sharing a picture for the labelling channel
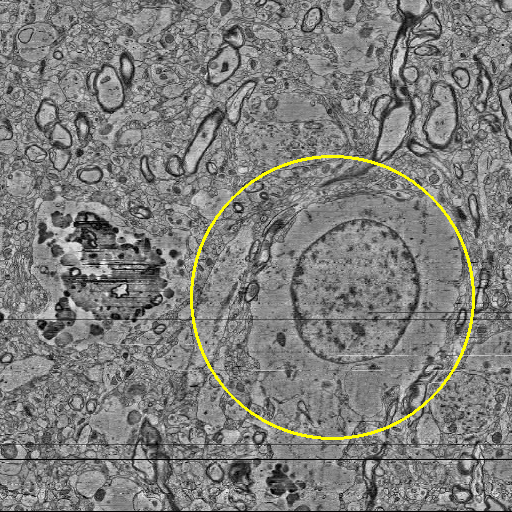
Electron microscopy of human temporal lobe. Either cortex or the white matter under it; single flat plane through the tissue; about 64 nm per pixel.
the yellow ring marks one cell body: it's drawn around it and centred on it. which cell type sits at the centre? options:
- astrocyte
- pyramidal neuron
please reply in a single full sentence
In the picture, the cell at the ring's centre is an astrocyte, going by the list.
